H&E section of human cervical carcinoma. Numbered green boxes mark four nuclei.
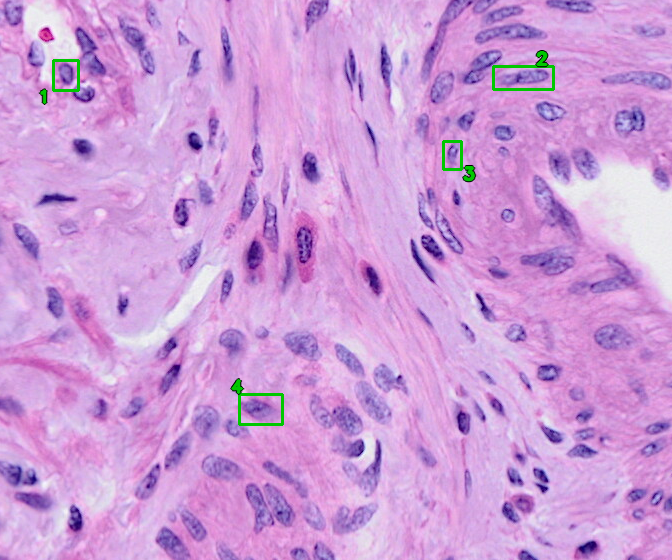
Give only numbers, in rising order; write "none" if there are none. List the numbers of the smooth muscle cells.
2, 3, 4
